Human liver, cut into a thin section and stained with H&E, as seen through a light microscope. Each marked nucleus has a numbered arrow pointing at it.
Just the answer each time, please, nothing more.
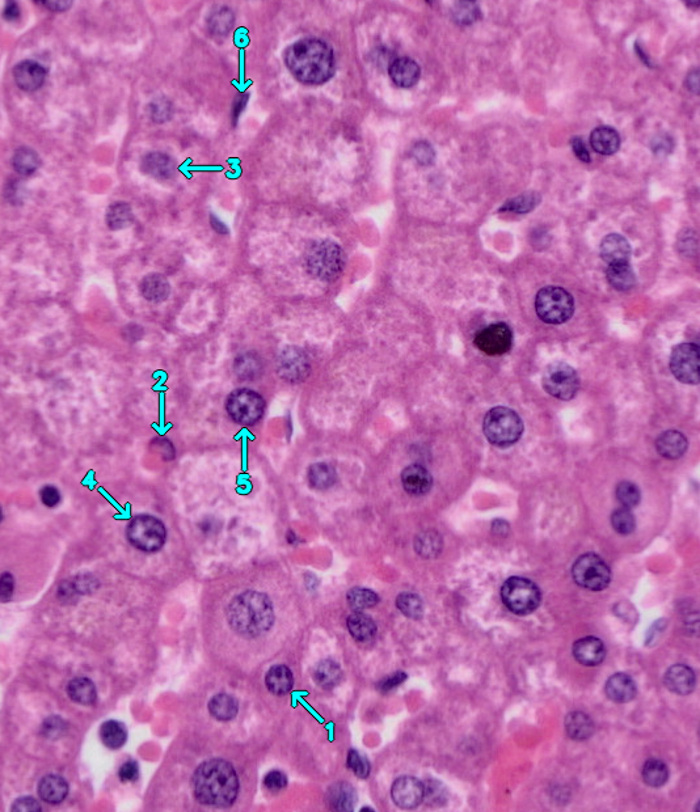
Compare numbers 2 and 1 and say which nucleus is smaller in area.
2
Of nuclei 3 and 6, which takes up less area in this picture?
6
